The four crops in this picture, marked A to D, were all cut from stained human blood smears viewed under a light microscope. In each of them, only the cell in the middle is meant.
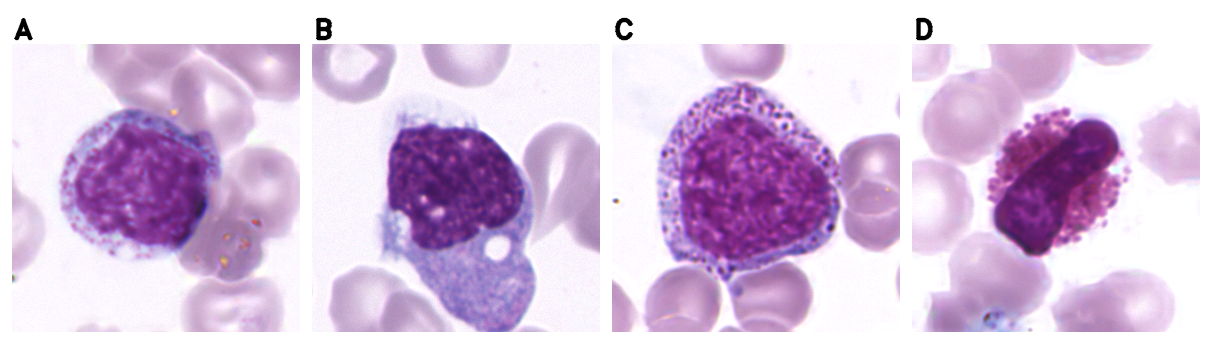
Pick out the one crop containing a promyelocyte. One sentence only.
Crop C is the crop in which a promyelocyte is shown.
